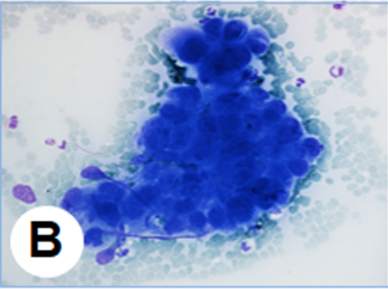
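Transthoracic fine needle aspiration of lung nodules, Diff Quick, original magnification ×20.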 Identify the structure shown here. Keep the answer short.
Solid aggregate of tumor cells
